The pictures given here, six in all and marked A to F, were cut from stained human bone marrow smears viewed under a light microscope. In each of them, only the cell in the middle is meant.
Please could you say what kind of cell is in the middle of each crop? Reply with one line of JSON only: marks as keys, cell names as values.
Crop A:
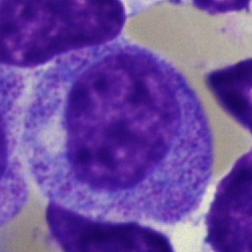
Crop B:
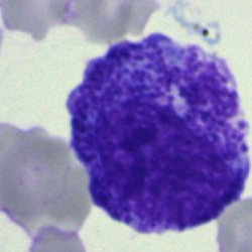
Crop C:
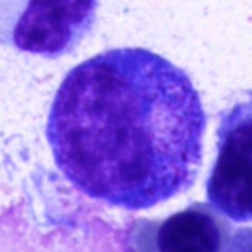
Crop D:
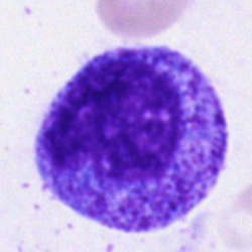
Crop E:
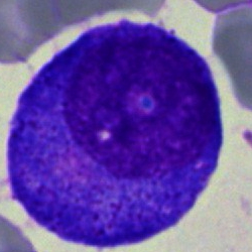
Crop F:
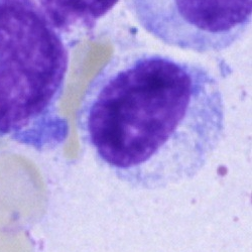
{"A": "promyelocyte", "B": "promyelocyte", "C": "promyelocyte", "D": "promyelocyte", "E": "promyelocyte", "F": "myelocyte"}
